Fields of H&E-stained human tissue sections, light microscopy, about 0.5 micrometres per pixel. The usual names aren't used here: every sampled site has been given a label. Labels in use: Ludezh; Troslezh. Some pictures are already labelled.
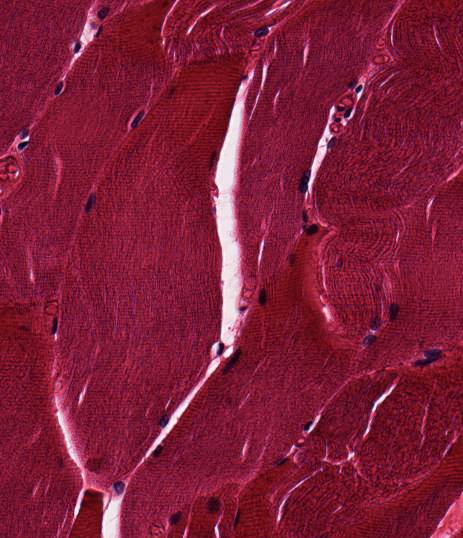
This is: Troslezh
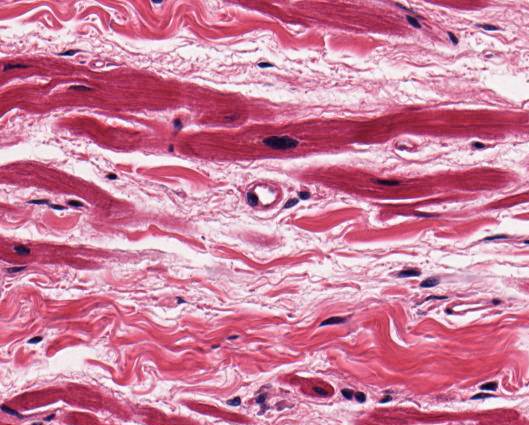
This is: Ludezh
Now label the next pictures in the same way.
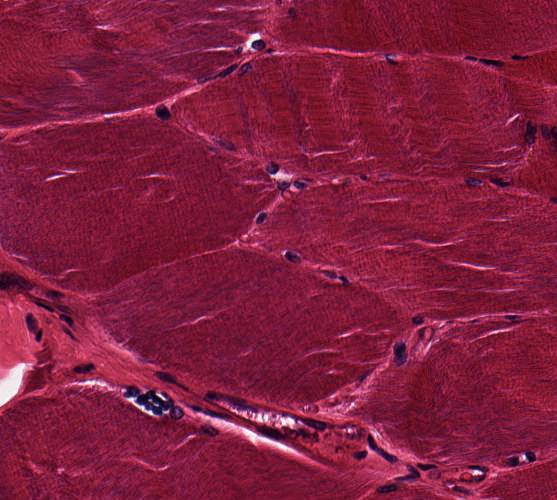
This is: Troslezh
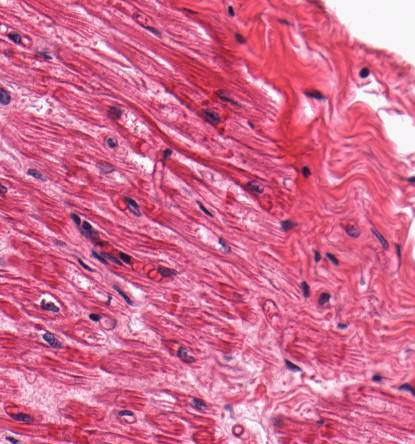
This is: Ludezh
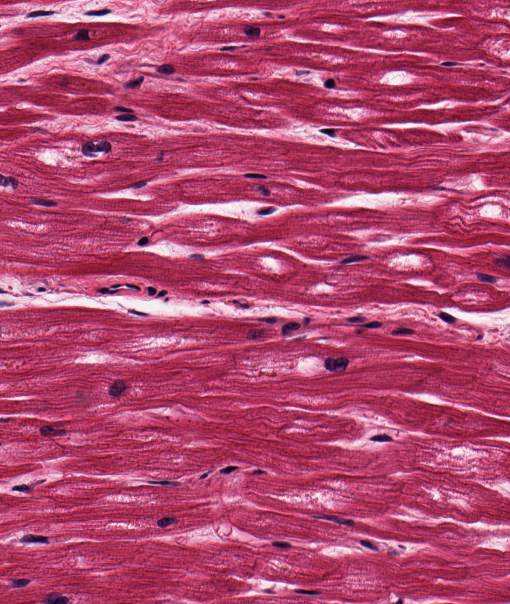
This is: Ludezh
